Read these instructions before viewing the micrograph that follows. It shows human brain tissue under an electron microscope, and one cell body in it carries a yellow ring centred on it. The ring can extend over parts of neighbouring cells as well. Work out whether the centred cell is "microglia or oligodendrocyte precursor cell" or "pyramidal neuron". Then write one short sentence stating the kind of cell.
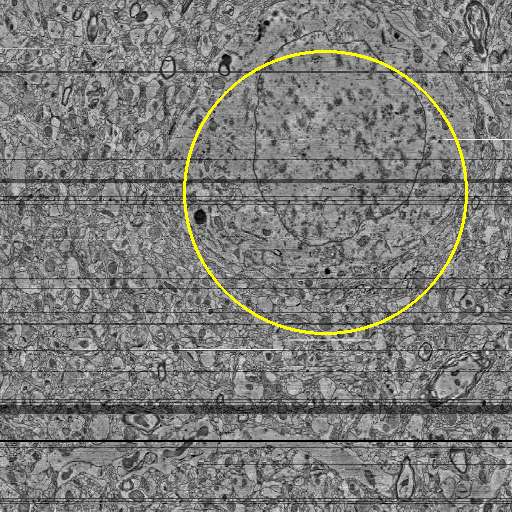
The ringed cell is a pyramidal neuron.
